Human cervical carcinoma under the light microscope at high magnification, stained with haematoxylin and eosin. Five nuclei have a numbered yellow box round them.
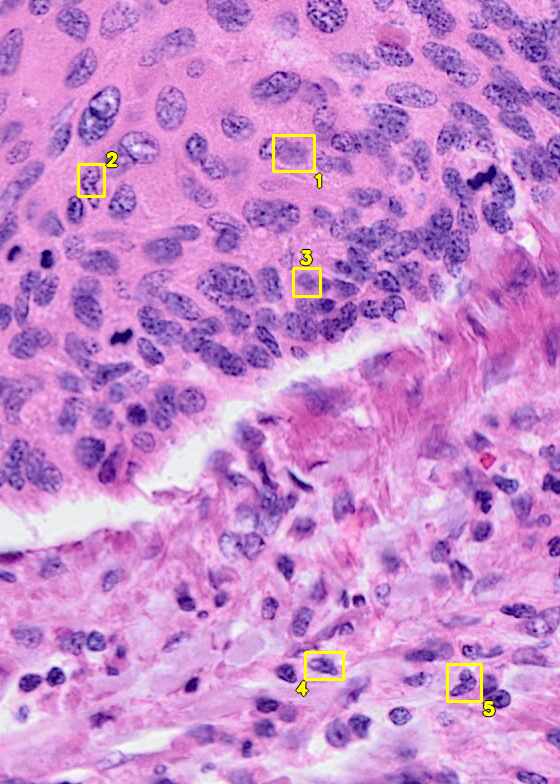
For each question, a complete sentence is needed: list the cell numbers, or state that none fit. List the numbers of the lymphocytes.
Cells that were given the numbers 4 and 5 are lymphocytes.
